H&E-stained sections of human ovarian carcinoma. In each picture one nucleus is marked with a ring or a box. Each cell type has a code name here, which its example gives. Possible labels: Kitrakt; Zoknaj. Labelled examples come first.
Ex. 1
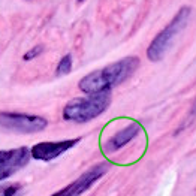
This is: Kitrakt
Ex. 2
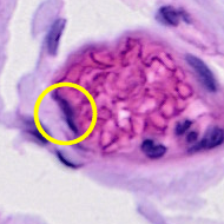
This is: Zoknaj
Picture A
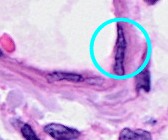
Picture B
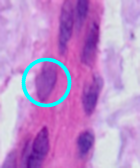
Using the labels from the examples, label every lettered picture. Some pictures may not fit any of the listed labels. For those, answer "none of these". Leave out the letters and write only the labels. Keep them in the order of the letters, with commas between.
Zoknaj, Kitrakt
